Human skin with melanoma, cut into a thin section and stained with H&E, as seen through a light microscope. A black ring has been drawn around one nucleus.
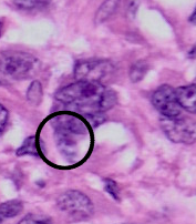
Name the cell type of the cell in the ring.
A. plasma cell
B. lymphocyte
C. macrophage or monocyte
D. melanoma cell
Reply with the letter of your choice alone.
D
